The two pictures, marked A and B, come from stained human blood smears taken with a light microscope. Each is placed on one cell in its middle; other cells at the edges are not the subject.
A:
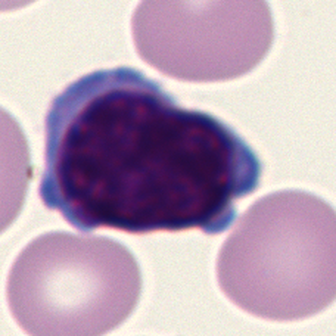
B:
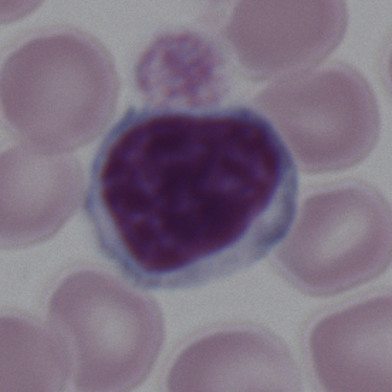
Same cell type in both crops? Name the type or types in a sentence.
Yes, both crops here show typical lymphocytes, the pair of them.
